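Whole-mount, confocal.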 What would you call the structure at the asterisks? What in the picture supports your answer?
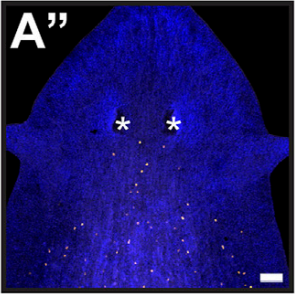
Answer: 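Each asterisk sits on one of two dark, cup-shaped gaps in the blue tissue. The two gaps lie side by side near the midline of the head, behind the front margin. The answer: photoreceptors.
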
